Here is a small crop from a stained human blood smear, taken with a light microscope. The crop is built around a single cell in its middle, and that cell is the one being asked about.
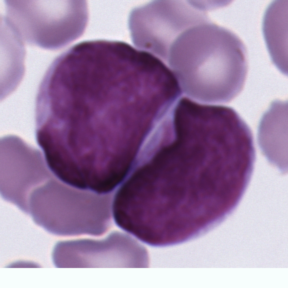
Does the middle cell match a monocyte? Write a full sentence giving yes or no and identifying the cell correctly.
No, the cell located centrally is a myeloblast rather than a monocyte.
